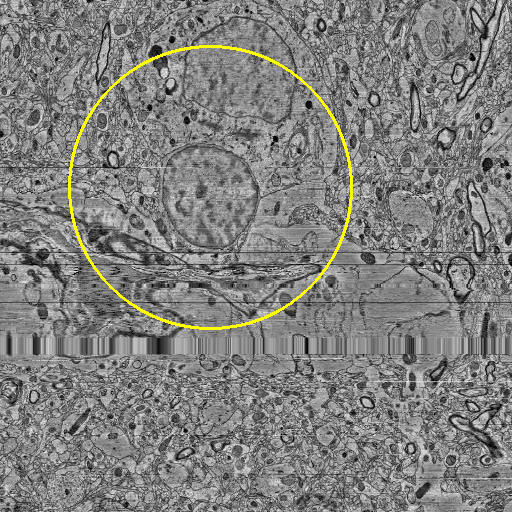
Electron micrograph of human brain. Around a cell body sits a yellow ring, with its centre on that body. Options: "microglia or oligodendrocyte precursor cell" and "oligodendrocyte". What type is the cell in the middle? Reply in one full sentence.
The cell sitting at the centre of the yellow ring is an oligodendrocyte.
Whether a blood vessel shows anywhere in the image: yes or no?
Yes, a vessel appears in the picture.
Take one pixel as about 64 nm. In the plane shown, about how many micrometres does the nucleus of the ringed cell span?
About 7 by 6 micrometers for the nucleus, in this plane.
